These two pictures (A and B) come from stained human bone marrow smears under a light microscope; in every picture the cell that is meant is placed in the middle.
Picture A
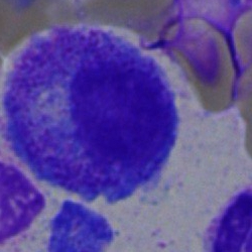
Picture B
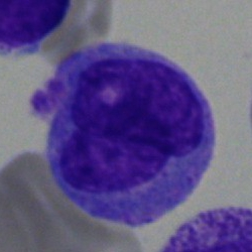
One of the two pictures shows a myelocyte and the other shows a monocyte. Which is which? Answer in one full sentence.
It is picture A that shows a myelocyte, and picture B that shows a monocyte.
